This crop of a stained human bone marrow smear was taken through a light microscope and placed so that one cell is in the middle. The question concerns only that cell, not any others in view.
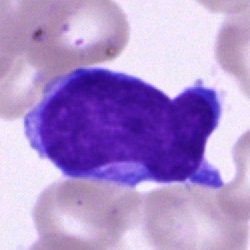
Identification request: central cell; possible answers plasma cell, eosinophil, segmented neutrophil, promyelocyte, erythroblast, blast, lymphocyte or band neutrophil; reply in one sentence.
Centrally within this crop lies a blast.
